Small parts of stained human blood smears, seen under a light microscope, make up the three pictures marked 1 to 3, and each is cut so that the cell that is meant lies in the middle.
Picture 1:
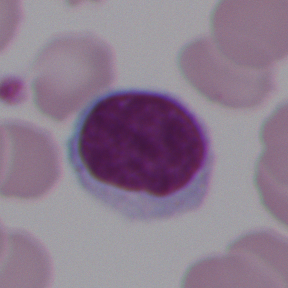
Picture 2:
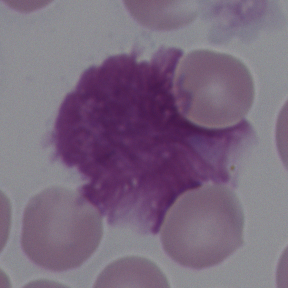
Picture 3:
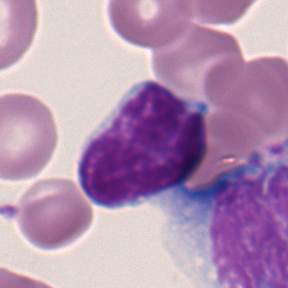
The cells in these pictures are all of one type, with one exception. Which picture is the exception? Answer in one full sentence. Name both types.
Picture 2 is the odd one out: it shows a smudge cell, while the others show typical lymphocytes.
